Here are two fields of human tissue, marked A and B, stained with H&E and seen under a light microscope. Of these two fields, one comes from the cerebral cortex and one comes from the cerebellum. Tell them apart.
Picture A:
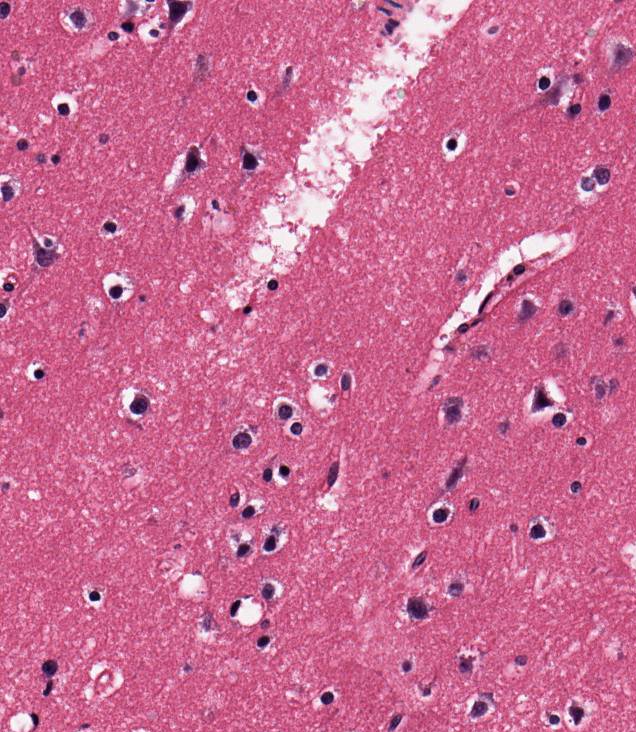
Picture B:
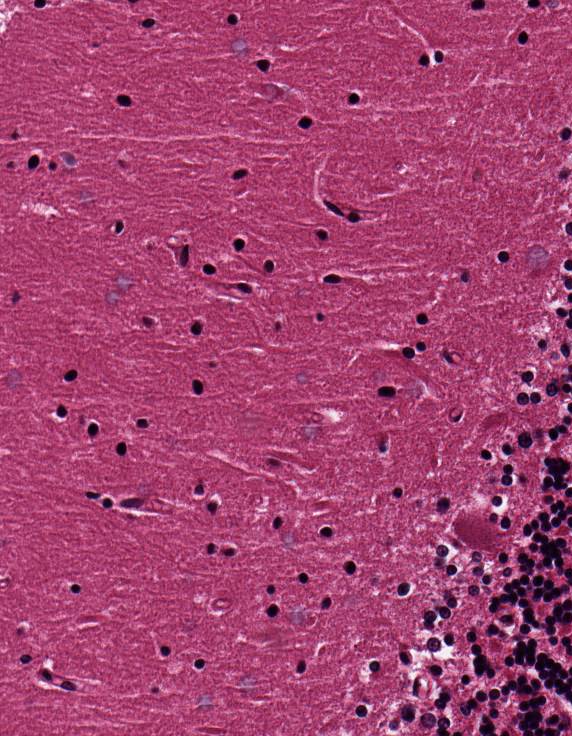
A: cerebral cortex
B: cerebellum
